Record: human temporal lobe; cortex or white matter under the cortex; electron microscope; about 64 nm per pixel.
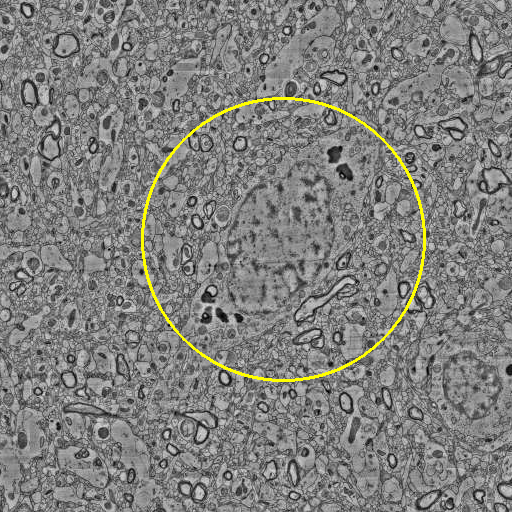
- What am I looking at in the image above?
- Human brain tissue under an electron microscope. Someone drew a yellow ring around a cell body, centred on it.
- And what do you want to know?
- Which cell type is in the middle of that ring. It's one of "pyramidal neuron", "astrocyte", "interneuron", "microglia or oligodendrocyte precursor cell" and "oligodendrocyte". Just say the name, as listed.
interneuron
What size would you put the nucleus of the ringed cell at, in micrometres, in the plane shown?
Roughly 10 by 7 micrometres in this plane, for the nucleus of the ringed cell.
